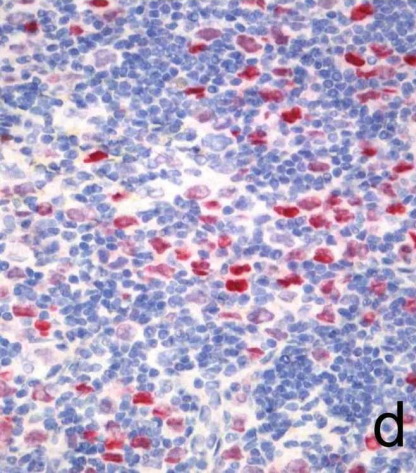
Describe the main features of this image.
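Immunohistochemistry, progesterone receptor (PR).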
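Densely packed small cells with round to oval nuclei and scant cytoplasm lie in sheets. Red staining is confined to the nuclei of scattered cells, with intensity ranging from faint pink to deep red. Most nuclei are blue only, and a few larger cells with paler, more open nuclei lie among them.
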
